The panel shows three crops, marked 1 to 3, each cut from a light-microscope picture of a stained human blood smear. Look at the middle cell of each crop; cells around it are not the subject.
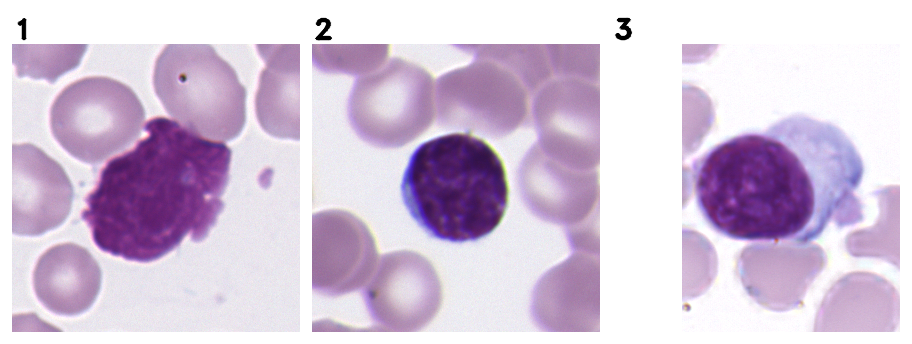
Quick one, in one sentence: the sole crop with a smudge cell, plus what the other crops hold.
In crop 1, the cell at the centre is a smudge cell, while crop 2 is a typical lymphocyte and crop 3 is a plasma cell.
